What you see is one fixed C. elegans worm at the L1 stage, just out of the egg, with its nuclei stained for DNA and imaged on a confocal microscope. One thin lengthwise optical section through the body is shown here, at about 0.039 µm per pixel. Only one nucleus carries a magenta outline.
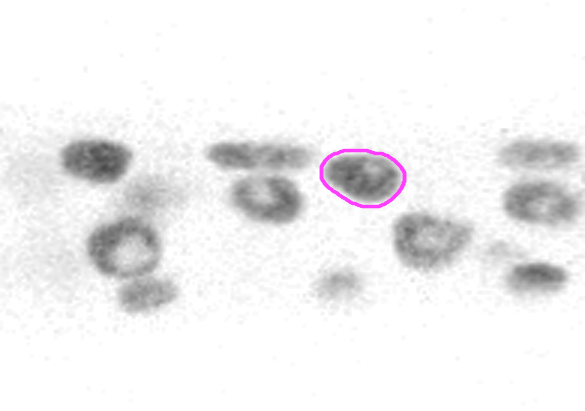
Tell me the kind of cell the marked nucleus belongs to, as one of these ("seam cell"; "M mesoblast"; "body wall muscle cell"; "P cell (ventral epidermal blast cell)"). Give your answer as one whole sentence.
This is the nucleus of a P cell (ventral epidermal blast cell).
